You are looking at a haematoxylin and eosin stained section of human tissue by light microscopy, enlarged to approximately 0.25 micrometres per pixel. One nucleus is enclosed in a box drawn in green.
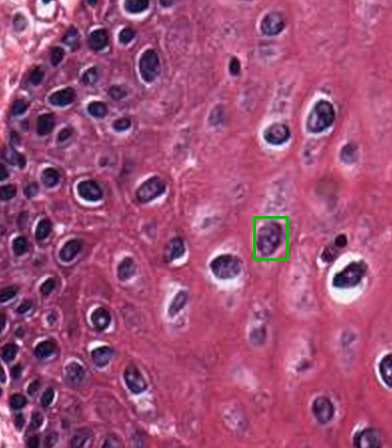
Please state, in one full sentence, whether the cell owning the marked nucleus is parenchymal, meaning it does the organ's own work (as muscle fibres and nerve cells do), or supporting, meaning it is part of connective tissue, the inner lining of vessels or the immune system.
The marked nucleus belongs to a parenchymal cell, namely a squamous epithelial cell.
